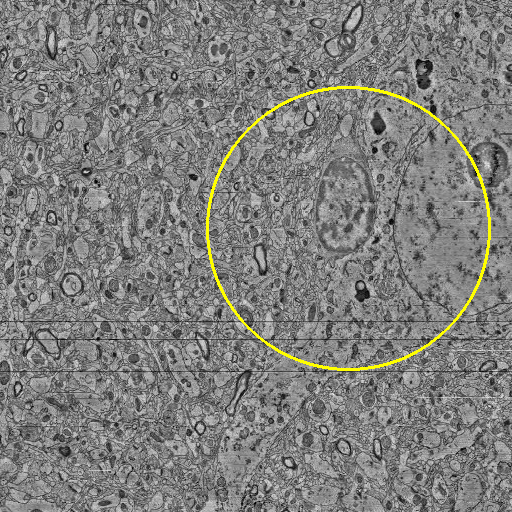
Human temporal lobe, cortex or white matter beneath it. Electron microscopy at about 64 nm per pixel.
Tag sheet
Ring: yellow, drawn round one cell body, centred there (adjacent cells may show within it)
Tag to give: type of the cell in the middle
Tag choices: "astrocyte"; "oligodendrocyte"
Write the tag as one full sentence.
I tag the cell centred in the yellow ring as an oligodendrocyte in this picture.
